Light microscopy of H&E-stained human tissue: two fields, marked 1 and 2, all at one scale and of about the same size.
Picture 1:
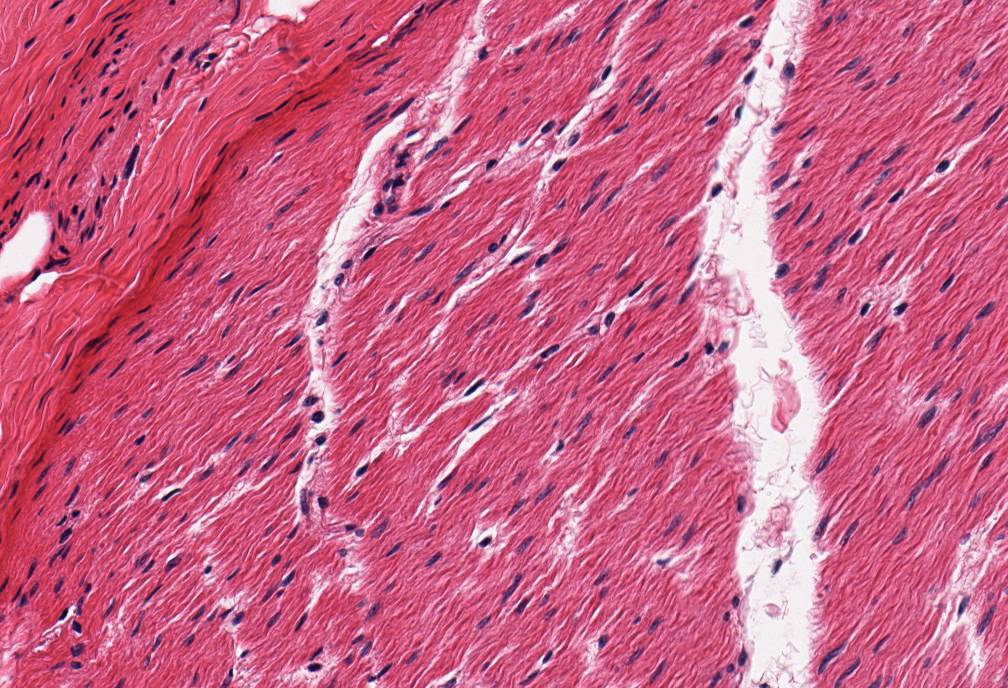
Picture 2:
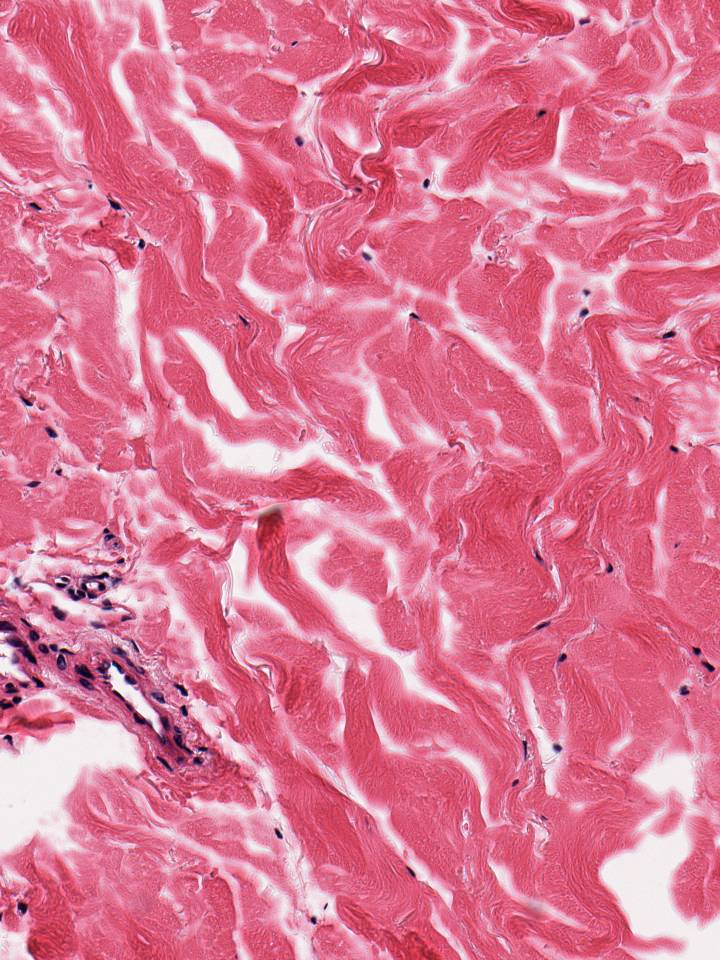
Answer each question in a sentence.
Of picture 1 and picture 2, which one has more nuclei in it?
It is picture 1 that has more nuclei in it.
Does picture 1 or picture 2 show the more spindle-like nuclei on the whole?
Longer, more slender nuclei lie in picture 1.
